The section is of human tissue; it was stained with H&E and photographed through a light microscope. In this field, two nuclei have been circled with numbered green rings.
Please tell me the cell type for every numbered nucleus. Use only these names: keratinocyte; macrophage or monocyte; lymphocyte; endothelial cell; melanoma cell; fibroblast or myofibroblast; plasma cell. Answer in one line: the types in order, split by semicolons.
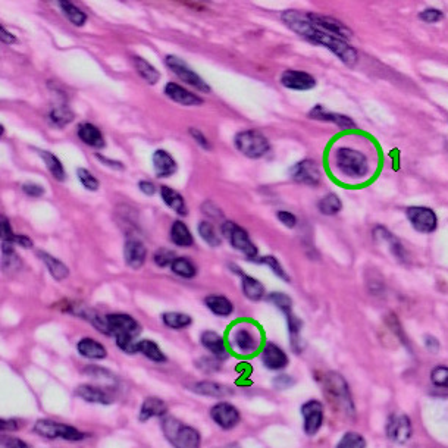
lymphocyte; plasma cell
